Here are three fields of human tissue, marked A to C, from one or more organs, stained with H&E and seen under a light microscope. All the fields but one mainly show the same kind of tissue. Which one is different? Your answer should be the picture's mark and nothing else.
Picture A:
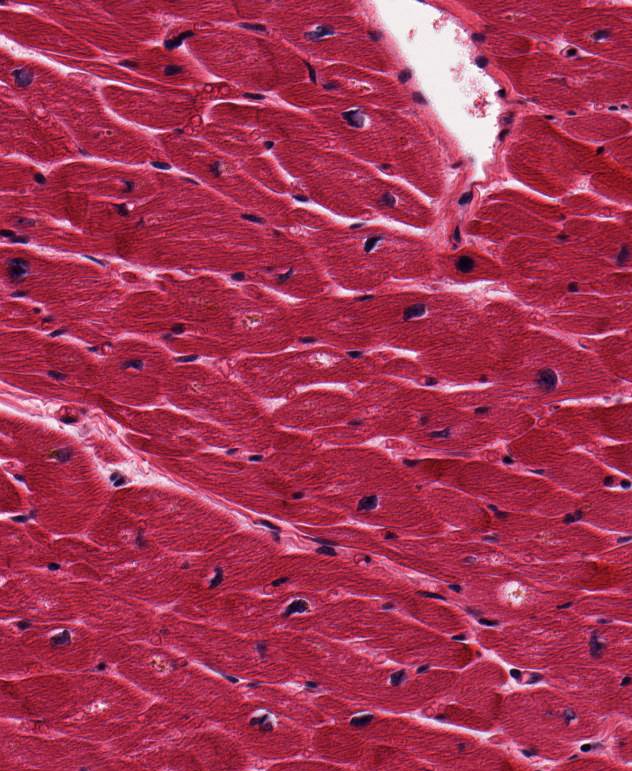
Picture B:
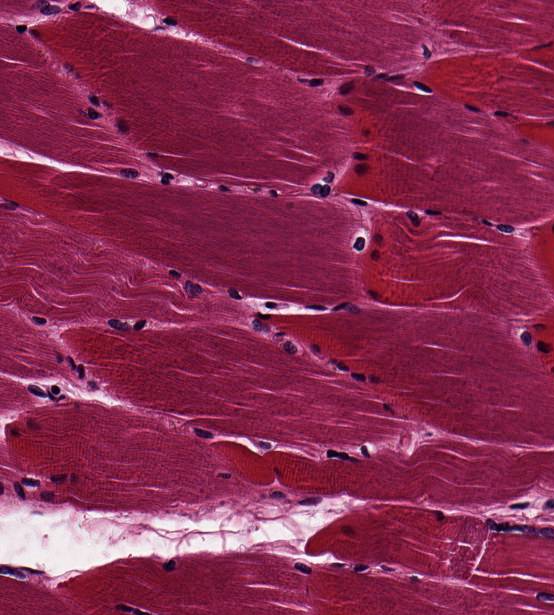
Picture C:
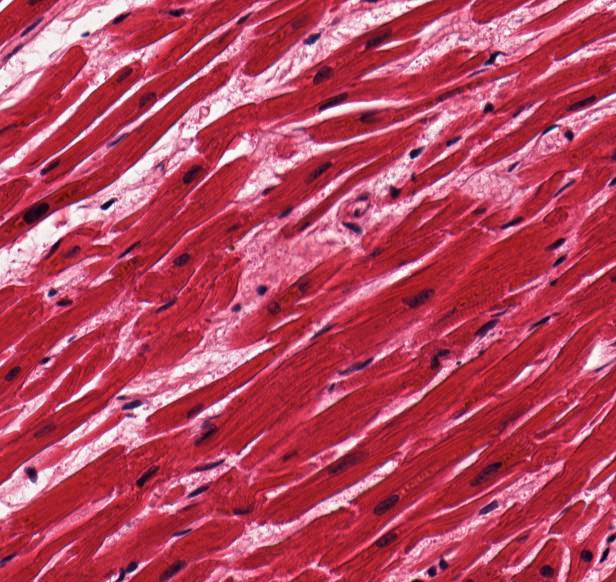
B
